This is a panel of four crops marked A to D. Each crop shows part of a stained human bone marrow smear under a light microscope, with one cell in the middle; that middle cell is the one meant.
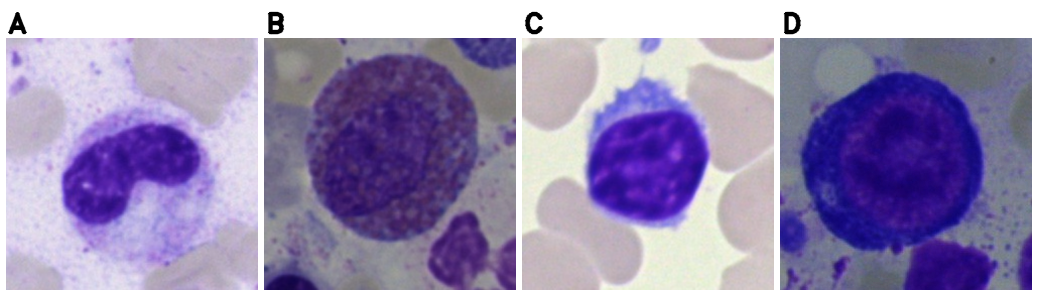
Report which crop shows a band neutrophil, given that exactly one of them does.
A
